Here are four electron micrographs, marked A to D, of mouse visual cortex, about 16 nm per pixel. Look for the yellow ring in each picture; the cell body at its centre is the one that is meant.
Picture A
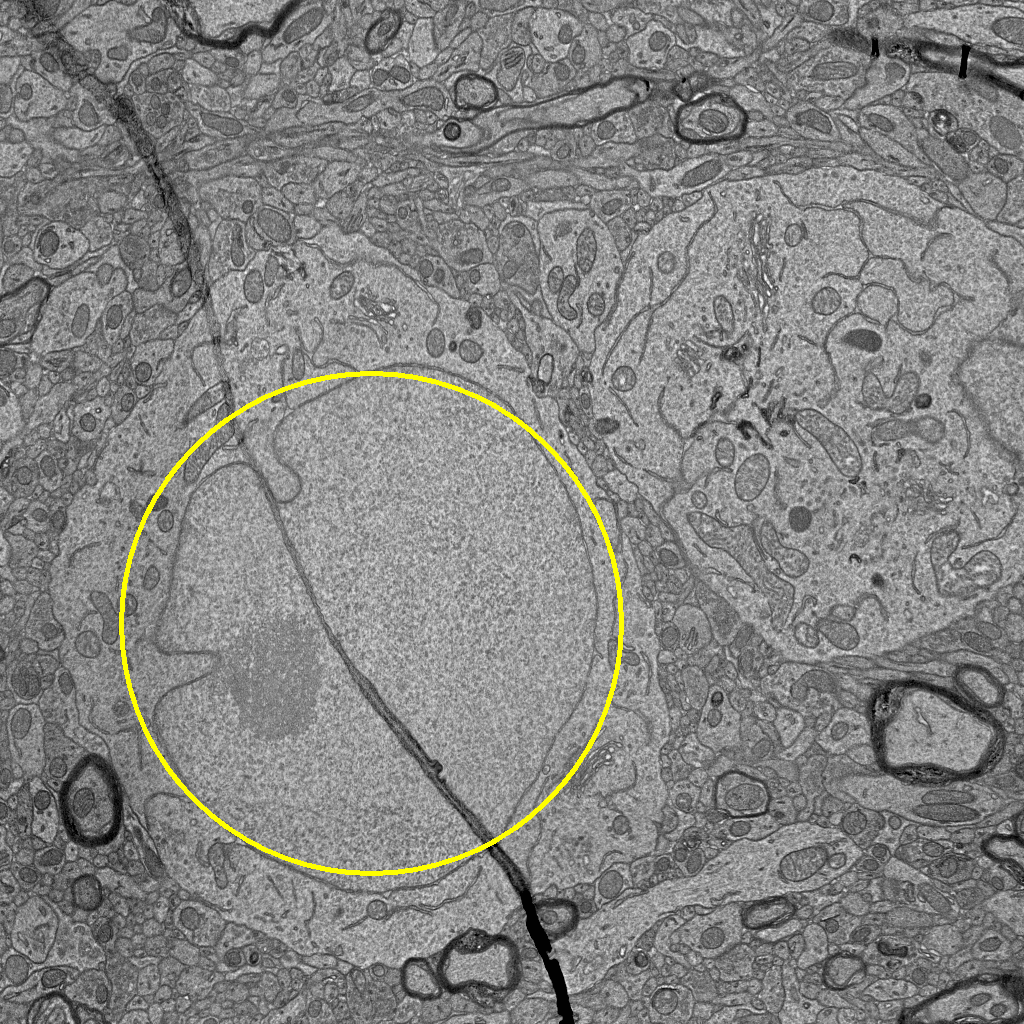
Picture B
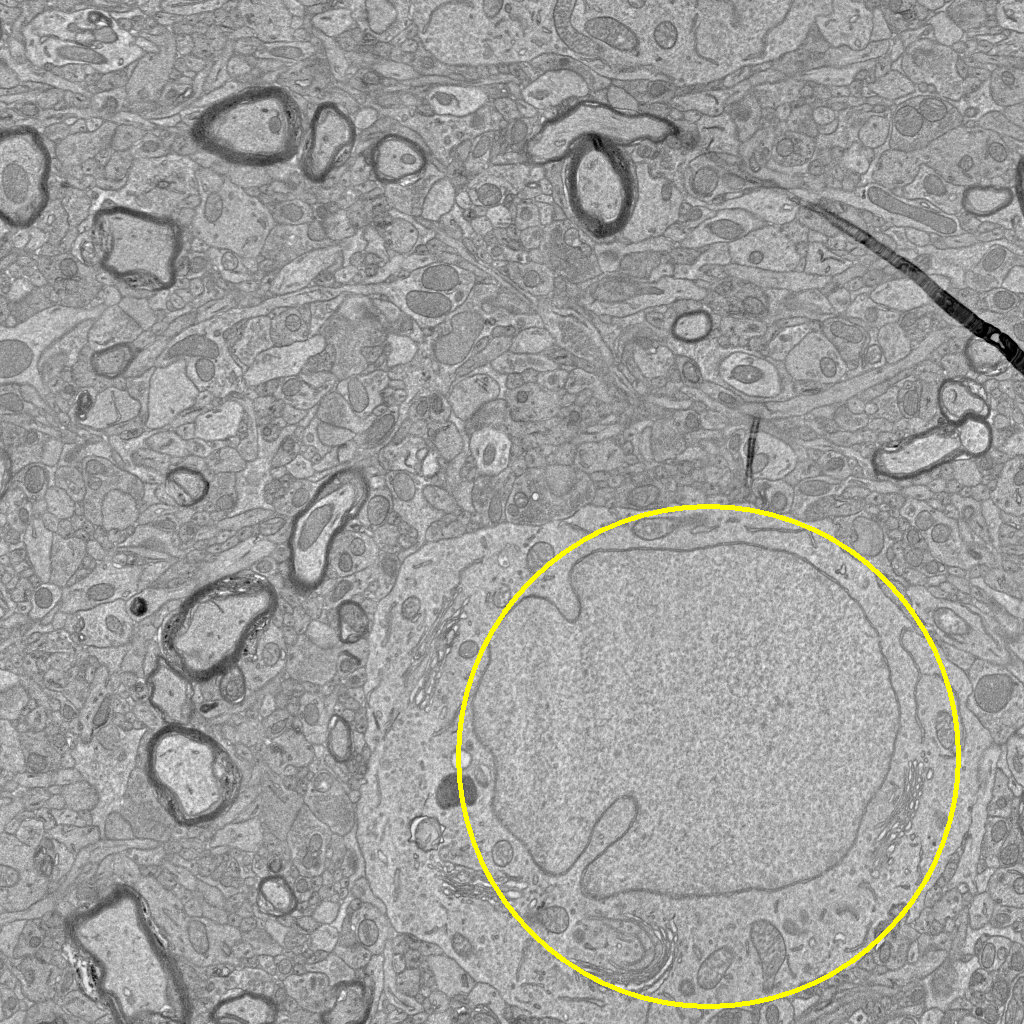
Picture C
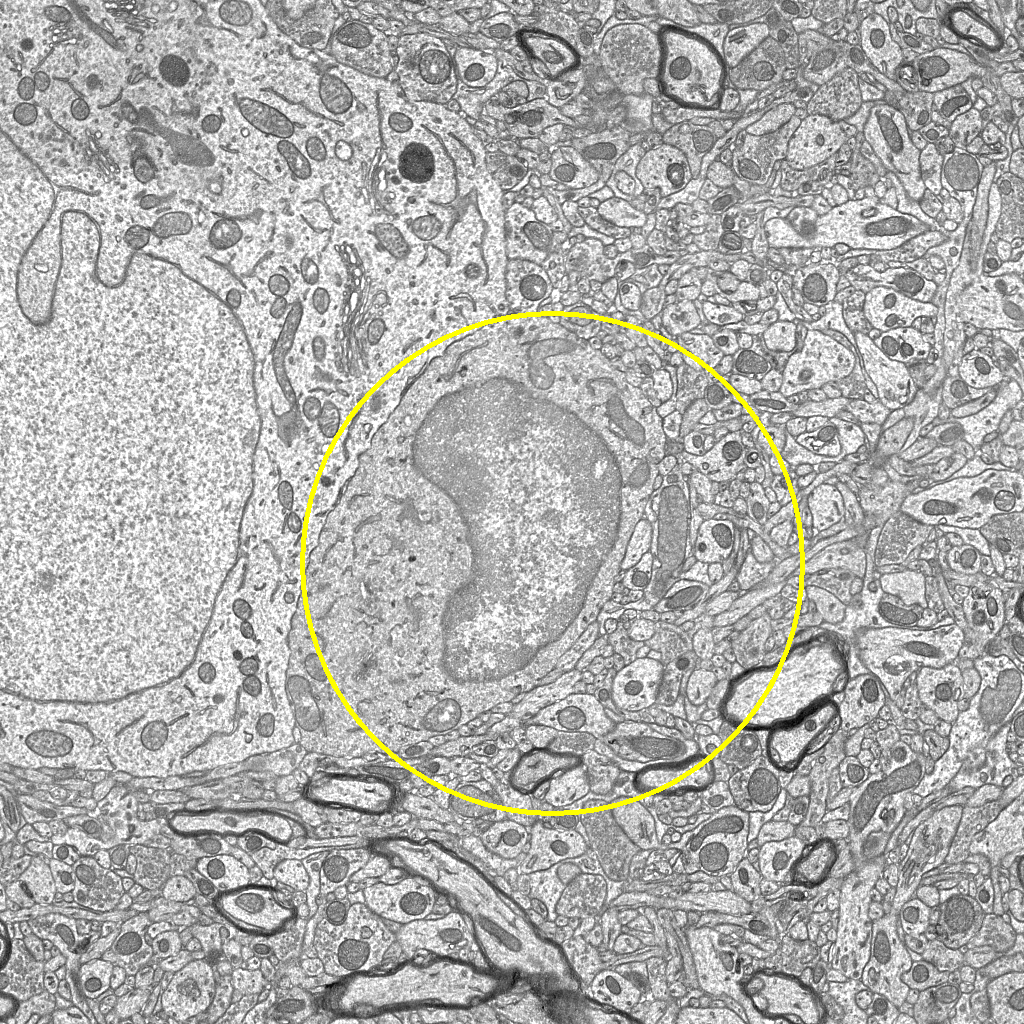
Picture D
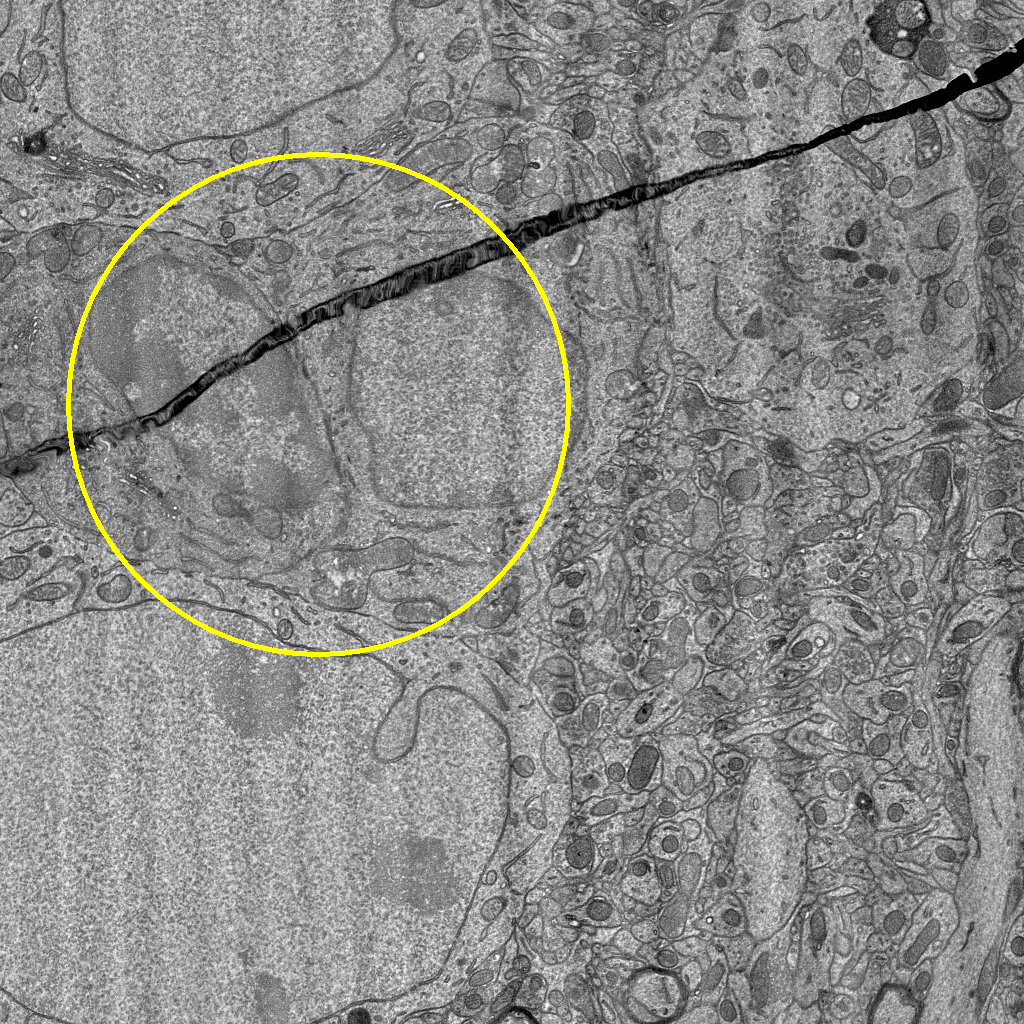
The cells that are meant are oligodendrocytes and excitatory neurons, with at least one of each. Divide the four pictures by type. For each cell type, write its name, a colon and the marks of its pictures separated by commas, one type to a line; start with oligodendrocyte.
oligodendrocyte: C, D
excitatory neuron: A, B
